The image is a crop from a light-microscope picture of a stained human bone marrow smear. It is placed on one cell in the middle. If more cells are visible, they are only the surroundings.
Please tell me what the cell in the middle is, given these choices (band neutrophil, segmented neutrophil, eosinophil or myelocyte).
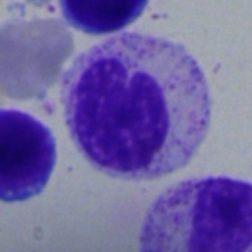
myelocyte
